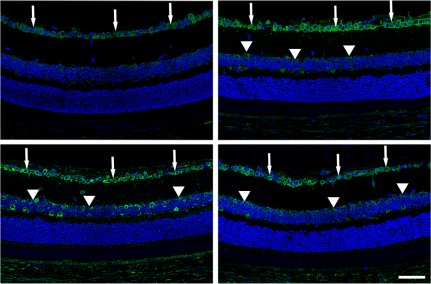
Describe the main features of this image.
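These are cross-sections of retina showing its layered arrangement of nuclei in blue. At the top lies a thin single row of nuclei, the ganglion cell layer, followed by a dark nucleus-poor band, then the inner nuclear layer of a few rows of nuclei, and below it a thick, densely packed band of nuclei. Green granular staining is concentrated around nuclei of the top row and, in several images, around cells of the middle nuclear band.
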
